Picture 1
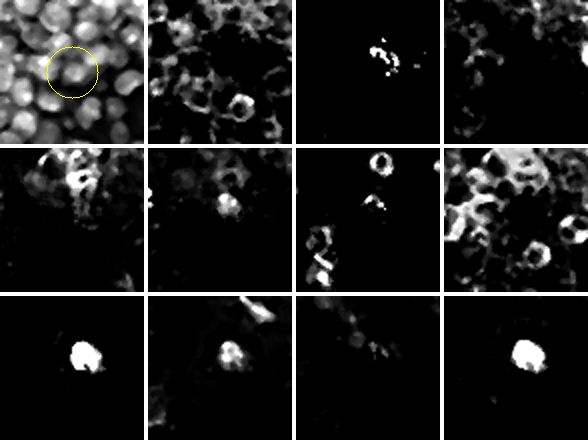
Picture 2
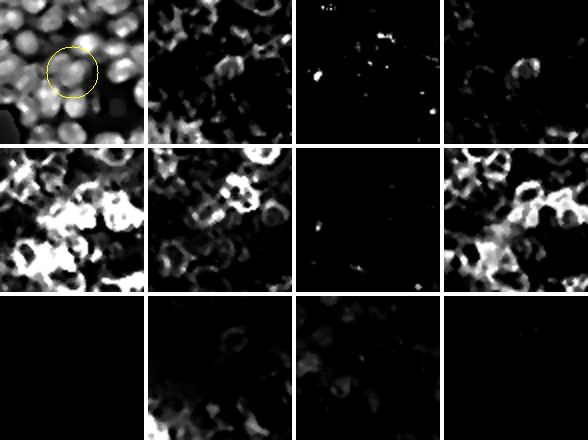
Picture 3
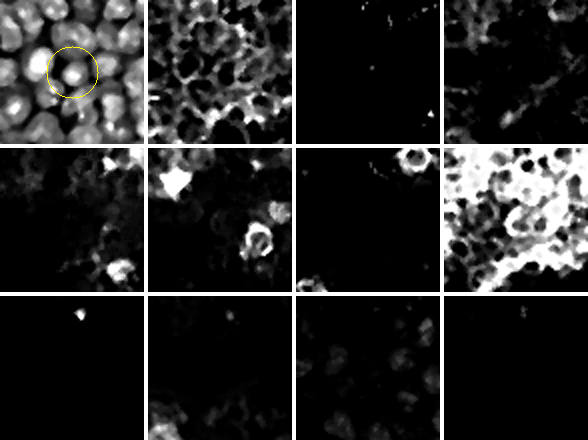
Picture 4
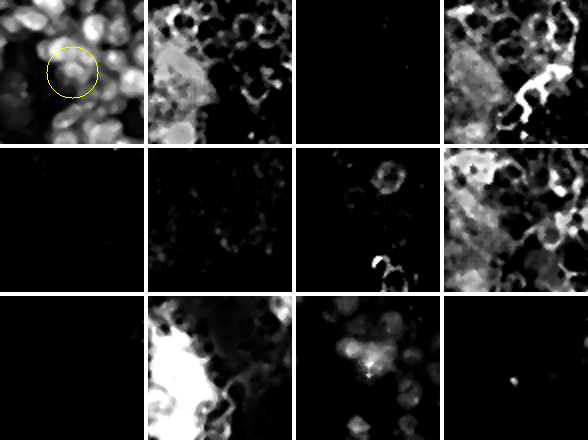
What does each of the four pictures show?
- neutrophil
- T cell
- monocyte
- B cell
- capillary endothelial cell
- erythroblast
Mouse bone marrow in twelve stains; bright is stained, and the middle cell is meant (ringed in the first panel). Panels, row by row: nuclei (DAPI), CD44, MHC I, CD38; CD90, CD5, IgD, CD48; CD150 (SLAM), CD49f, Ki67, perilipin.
Picture 1: neutrophil
Picture 2: T cell
Picture 3: monocyte
Picture 4: erythroblast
